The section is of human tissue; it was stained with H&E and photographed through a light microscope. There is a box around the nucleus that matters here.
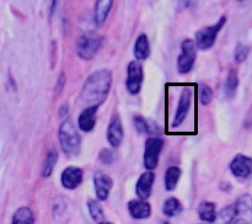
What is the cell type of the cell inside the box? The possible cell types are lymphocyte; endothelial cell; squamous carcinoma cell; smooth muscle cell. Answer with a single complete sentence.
This is a lymphocyte.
